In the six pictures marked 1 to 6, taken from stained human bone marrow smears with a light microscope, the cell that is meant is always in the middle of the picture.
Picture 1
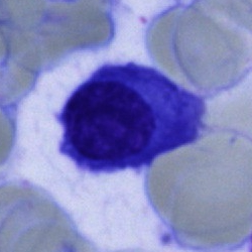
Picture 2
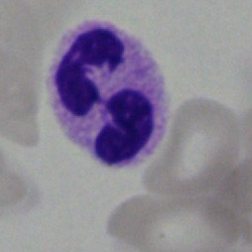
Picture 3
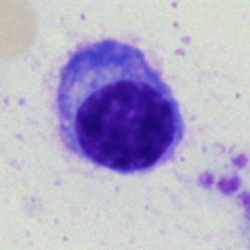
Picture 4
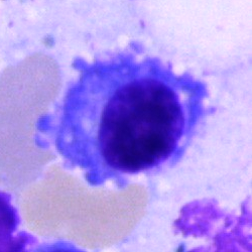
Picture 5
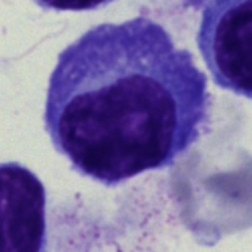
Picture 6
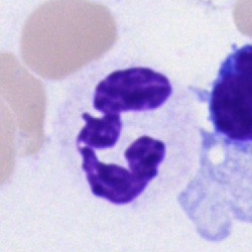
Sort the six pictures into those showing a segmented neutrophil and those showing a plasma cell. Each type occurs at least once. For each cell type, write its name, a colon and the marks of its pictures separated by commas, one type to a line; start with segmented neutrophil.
segmented neutrophil: 2, 6
plasma cell: 1, 3, 4, 5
